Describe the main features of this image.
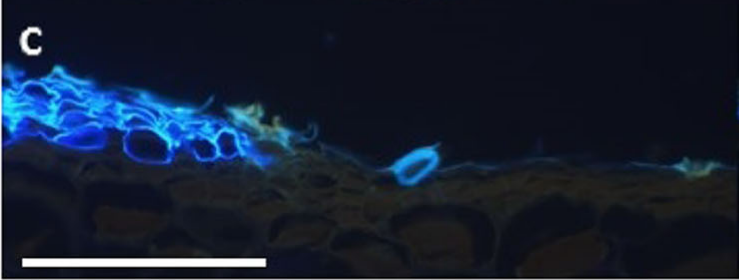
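On the left several stacked layers of rounded to flattened cells have brightly blue fluorescing walls and dark interiors. Towards the right the blue cell layers end and the surface is covered only by a thin blue line. A single ring-shaped blue-outlined structure lies on the surface to the right of the patch. The tissue beneath shows large dull brownish cells without bright fluorescence.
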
